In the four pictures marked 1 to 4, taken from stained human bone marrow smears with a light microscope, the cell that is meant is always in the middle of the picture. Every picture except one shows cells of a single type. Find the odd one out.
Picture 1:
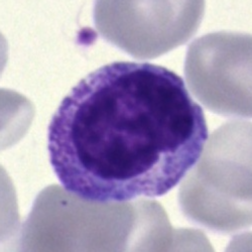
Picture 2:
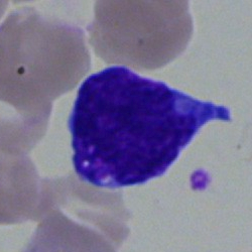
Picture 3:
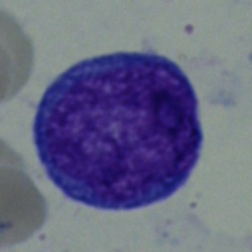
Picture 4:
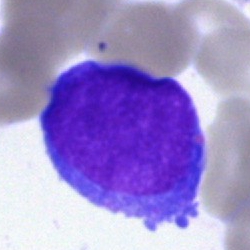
1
